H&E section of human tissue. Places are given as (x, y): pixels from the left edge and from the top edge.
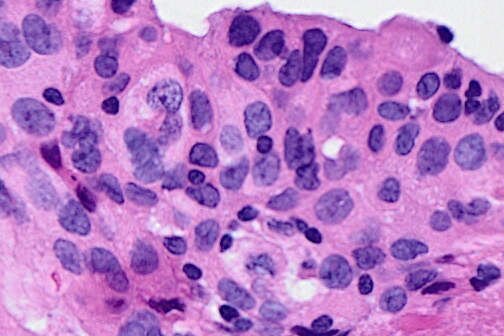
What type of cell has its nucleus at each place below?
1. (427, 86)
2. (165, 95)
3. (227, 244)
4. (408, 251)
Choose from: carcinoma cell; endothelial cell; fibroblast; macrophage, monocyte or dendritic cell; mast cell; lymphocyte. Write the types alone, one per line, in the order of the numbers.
carcinoma cell
carcinoma cell
lymphocyte
carcinoma cell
